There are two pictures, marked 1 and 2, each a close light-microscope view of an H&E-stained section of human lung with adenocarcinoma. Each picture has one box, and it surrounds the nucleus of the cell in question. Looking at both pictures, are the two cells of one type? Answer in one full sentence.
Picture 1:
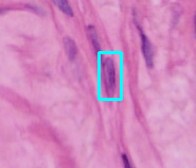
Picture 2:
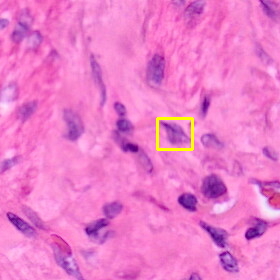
No. Picture 1 shows a “smooth muscle cell or pericyte”, but picture 2 shows a fibroblast.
